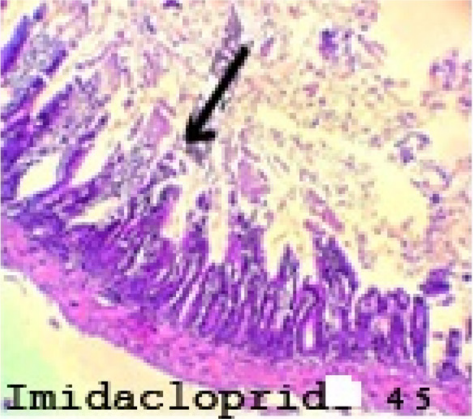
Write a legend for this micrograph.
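This section of intestine shows a mucosa whose villi are short and irregular near the base and broken up toward the lumen. The upper part of the picture is filled with loose, pale fragments of detached tissue, and the villi near the arrow have lost their tips. At the bottom a pink muscular layer still lies beneath the densely stained crypt region. Compared with a normal intestine the orderly rows of slender villi are lost.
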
